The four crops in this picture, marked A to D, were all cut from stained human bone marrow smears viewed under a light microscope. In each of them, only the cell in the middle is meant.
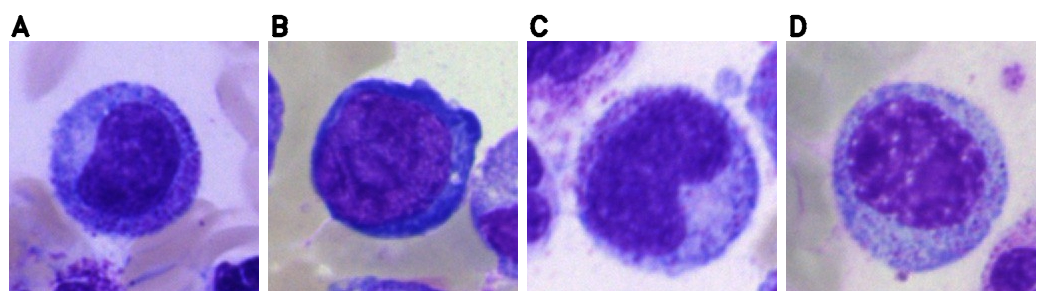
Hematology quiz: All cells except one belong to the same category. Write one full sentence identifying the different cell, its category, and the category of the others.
The crops all show promyelocytes, with the exception of crop B, which shows a proerythroblast.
